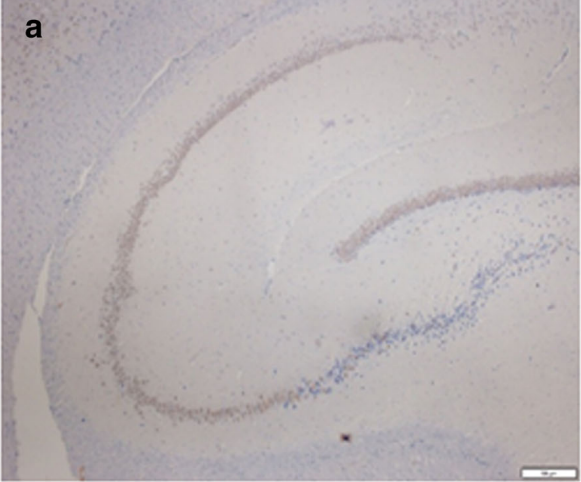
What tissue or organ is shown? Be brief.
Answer: Hippocampus.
